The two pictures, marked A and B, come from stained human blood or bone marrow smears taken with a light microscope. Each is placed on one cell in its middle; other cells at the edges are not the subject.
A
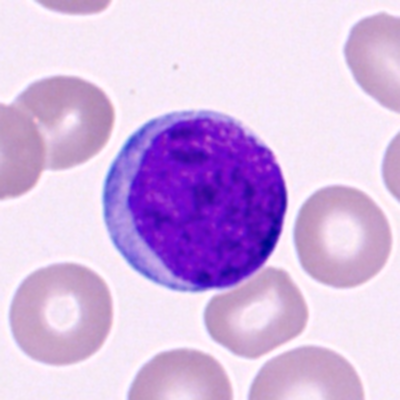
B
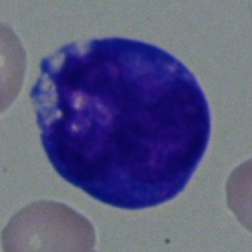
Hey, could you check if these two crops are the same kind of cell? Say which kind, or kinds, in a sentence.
Yes, the cells placed at the centre of both crops are blasts.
